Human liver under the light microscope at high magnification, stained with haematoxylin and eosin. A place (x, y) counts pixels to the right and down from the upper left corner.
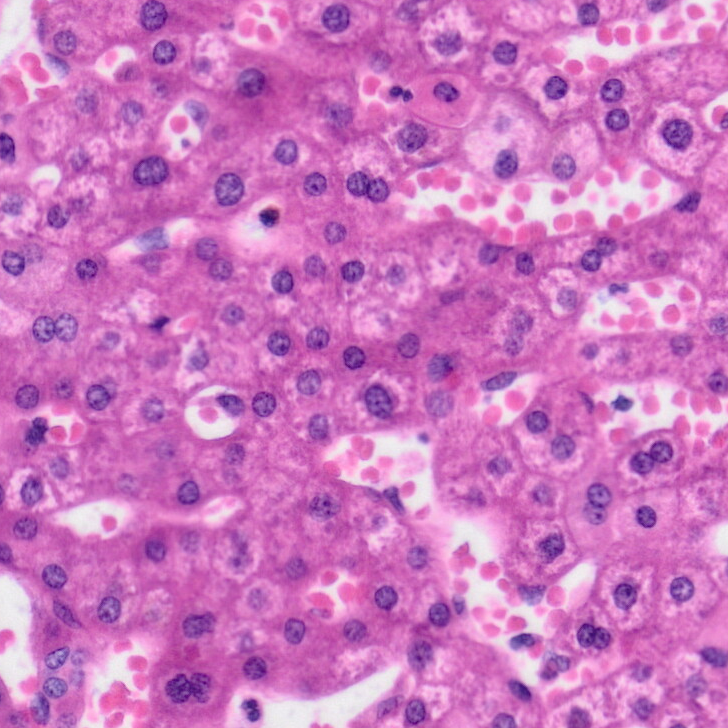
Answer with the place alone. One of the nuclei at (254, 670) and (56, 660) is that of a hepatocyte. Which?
(254, 670)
